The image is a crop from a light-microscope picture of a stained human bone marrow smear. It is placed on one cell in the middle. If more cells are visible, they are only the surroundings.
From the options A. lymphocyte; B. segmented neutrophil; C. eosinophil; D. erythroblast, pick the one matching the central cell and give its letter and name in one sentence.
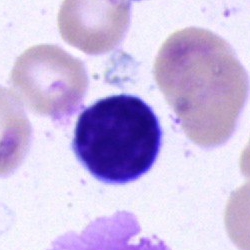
Here the right option is A, as the cell in the middle is a lymphocyte.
